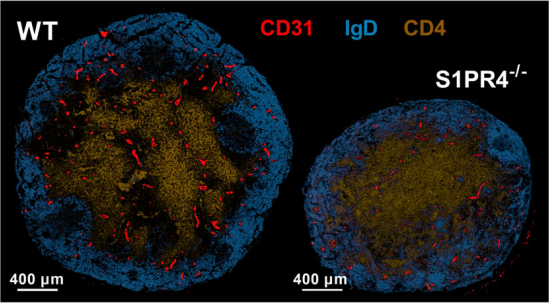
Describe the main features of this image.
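These are two whole cross-sections of lymph nodes, showing how the lymphocytes and blood vessels are laid out. Around the outer rim, blue-stained B cells gather in rounded follicles that form a near-continuous band under the capsule. The centre of each node is filled by a broad tan zone of T cells, the deep cortex. The left node is larger, with more and wider red vessel segments than the smaller right node.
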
